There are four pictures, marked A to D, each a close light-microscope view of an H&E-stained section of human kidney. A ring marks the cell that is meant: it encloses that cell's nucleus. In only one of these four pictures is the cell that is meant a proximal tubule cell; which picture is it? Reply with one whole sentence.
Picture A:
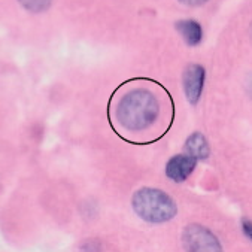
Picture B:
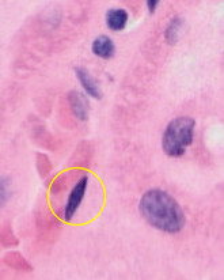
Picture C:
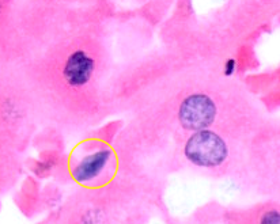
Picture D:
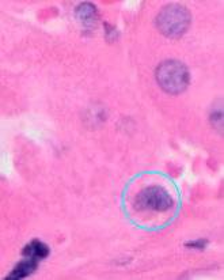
Picture A shows the proximal tubule cell.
